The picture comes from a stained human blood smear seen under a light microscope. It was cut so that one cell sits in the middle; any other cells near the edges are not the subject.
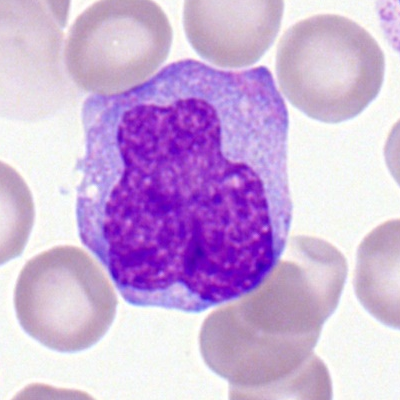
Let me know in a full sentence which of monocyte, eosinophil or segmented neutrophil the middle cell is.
The central cell shown in this smear crop is a monocyte.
